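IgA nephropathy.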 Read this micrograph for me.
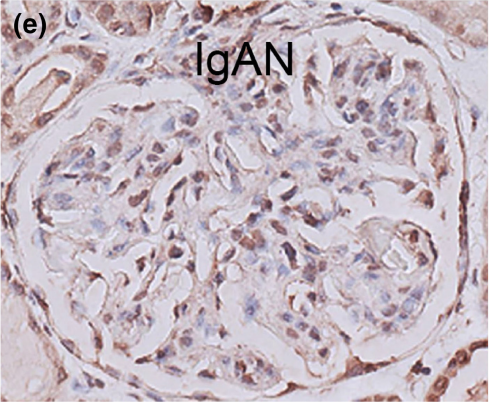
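A large glomerulus fills most of the field, its tuft made of many looping capillaries with blue-purple nuclei set along and between them. A thin capsule encloses the tuft, and tubules with brown-stained cytoplasm lie around the outside.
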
